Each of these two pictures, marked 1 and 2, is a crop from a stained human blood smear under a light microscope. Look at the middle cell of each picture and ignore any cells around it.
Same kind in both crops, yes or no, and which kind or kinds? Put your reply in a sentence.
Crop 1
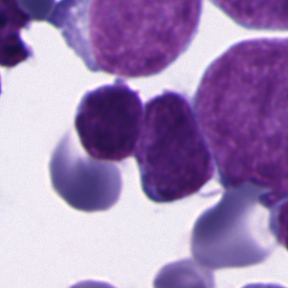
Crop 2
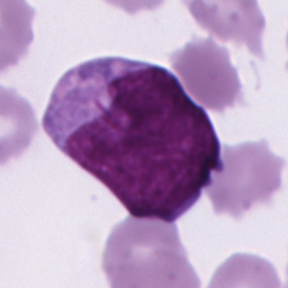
Yes, myeloblasts are at the centre in both crops.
